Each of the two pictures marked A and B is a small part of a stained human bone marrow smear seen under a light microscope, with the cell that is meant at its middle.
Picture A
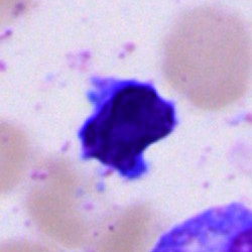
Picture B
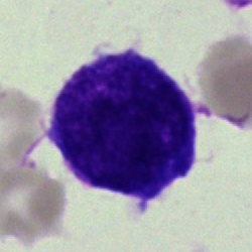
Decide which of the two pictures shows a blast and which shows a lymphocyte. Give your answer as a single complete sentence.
Picture A is of a lymphocyte, and picture B is of a blast.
